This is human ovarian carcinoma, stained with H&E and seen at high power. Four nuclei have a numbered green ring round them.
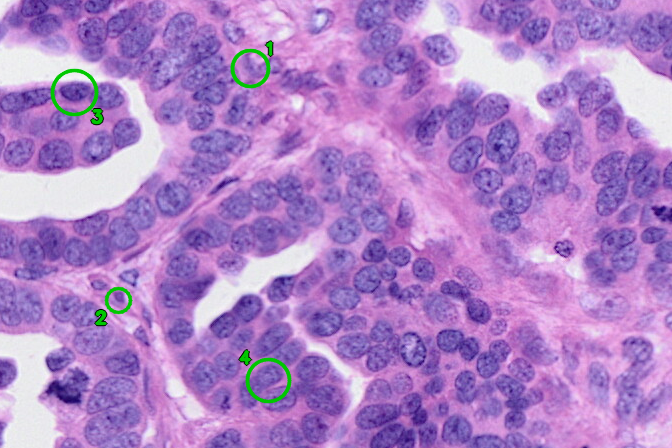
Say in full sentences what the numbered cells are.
Cell 1 is a fibroblast, cell 2 is a fibroblast, cell 3 is a carcinoma cell and cell 4 is a carcinoma cell.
